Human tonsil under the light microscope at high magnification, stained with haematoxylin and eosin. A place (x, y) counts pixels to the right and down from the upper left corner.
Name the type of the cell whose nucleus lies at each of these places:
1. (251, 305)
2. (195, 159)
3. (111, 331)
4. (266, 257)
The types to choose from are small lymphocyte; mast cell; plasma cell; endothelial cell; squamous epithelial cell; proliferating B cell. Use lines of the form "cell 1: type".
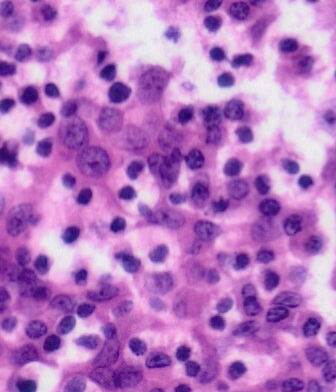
cell 1: plasma cell
cell 2: plasma cell
cell 3: squamous epithelial cell
cell 4: plasma cell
